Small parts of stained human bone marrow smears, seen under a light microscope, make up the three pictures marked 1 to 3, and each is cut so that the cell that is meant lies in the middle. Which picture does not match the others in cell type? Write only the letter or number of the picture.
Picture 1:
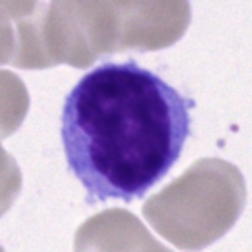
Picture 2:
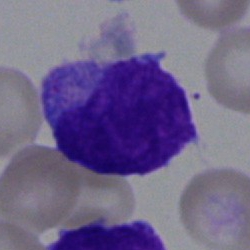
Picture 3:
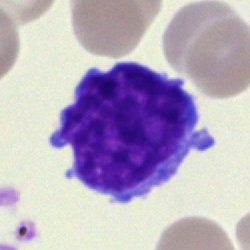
1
